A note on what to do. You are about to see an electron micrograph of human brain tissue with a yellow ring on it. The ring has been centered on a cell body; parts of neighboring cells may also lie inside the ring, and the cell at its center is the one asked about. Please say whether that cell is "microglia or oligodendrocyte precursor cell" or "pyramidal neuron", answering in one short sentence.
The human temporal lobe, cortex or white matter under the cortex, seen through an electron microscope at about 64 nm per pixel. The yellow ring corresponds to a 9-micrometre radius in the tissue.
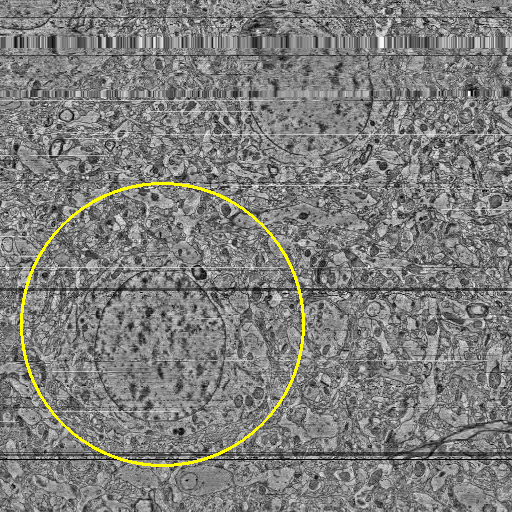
The yellow ring sits on a pyramidal neuron.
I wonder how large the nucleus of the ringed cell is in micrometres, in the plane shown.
The nucleus works out at approximately 11 by 9 micrometres in this plane.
